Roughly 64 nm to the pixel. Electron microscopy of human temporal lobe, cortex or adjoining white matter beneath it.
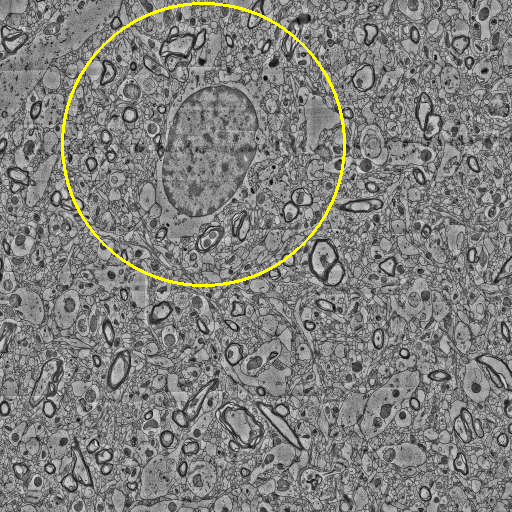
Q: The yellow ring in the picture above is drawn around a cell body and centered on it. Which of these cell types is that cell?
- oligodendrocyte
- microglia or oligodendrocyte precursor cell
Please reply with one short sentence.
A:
The cell body at the ring's center belongs to a microglial cell or oligodendrocyte precursor cell.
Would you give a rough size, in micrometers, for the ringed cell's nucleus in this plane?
The nucleus is about 8 micrometres in length and 6 in width, clearly longer than it is wide in this plane.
